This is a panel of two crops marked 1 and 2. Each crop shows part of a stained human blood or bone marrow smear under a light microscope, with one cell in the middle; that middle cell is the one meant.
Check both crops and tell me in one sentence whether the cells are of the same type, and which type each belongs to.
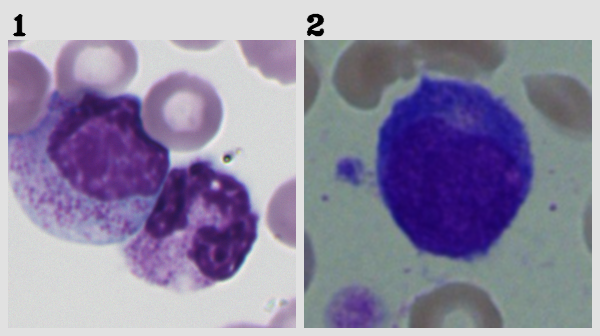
No, crop 1 is of a myelocyte, and crop 2 is of a blast.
